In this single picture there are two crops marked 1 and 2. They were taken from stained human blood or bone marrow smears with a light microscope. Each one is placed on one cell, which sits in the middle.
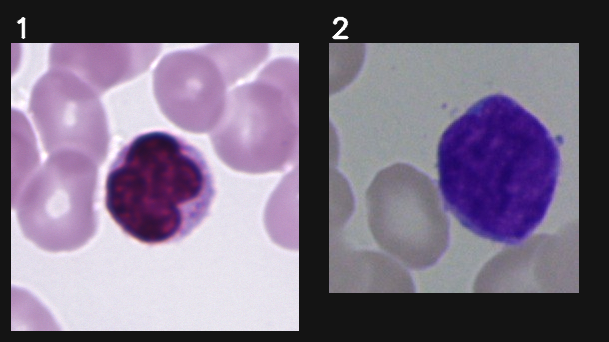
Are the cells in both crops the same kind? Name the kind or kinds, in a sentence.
No, crop 1 depicts a lymphocyte; crop 2 depicts a blast.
